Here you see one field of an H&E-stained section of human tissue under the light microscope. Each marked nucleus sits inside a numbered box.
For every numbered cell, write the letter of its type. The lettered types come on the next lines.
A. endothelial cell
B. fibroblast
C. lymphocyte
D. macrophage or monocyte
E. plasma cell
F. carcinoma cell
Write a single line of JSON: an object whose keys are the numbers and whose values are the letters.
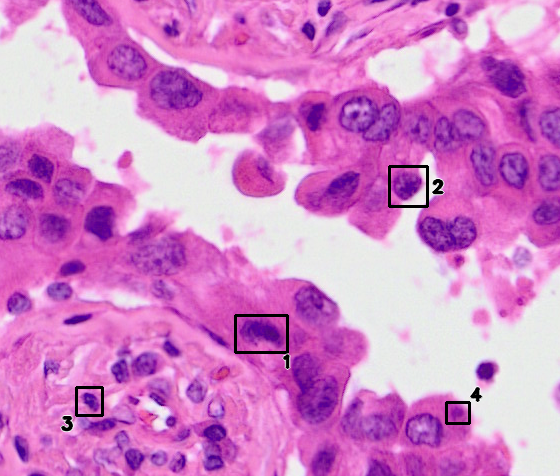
{"1": "F", "2": "F", "3": "C", "4": "F"}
